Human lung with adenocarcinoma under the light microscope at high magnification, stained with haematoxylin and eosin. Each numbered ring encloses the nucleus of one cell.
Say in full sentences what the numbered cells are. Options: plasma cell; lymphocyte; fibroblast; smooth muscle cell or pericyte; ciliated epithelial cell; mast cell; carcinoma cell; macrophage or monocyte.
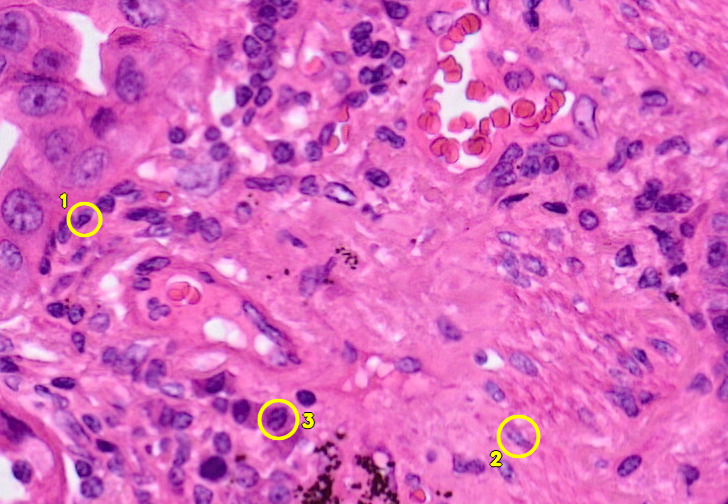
Cell 1 is a lymphocyte, cell 2 is a smooth muscle cell or pericyte and cell 3 is a plasma cell.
